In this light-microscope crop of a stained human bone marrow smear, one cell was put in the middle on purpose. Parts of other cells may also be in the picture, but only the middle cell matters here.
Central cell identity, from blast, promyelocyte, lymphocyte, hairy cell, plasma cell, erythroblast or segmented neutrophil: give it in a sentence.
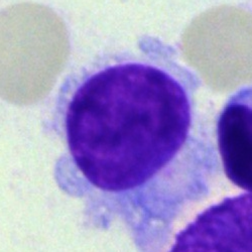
Answering briefly, the cell in the middle is a hairy cell.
